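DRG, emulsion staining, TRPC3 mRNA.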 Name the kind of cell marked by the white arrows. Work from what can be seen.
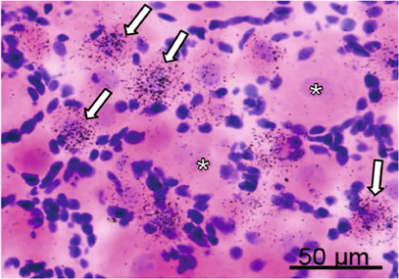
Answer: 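The arrowed cells are round cell bodies covered by dense black grains. These cell bodies are ringed by small dark-blue nuclei. Larger pale pink cell bodies marked elsewhere carry few grains. That points to this answer: small and medium diameter neurons.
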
